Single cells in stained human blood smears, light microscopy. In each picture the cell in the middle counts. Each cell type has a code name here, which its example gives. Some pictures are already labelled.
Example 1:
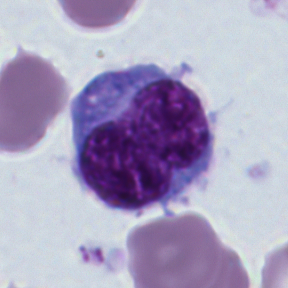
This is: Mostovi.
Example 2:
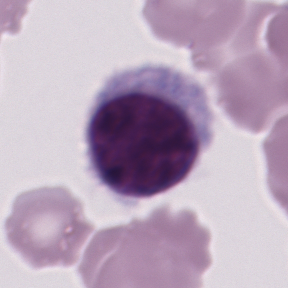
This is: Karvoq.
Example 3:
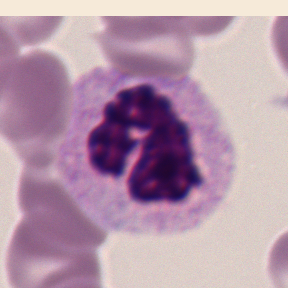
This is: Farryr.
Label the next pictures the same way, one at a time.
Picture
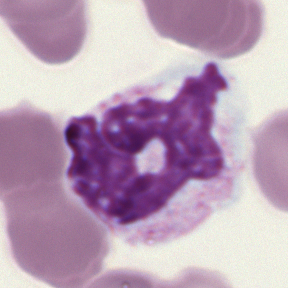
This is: Farryr.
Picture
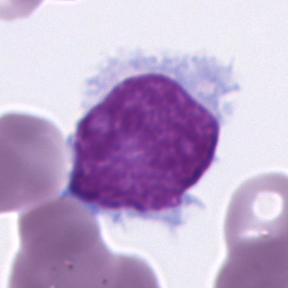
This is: Karvoq.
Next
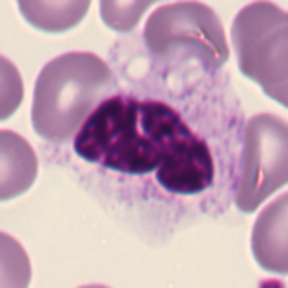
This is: Farryr.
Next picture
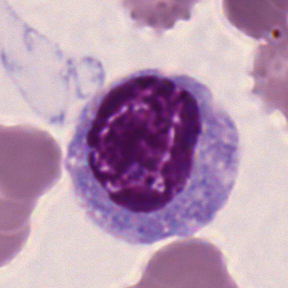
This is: Mostovi.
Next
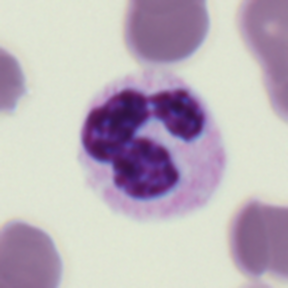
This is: Farryr.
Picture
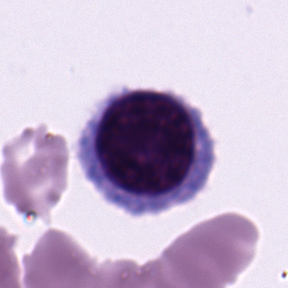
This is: Karvoq.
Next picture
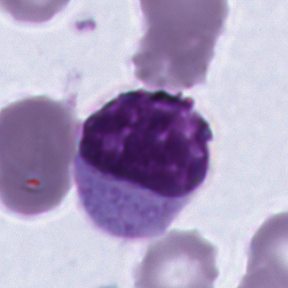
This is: Mostovi.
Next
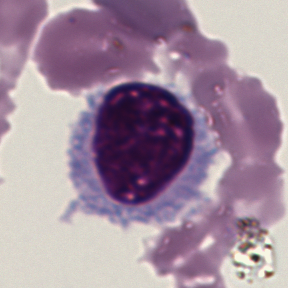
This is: Karvoq.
